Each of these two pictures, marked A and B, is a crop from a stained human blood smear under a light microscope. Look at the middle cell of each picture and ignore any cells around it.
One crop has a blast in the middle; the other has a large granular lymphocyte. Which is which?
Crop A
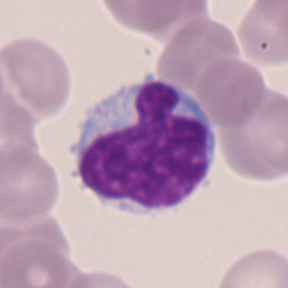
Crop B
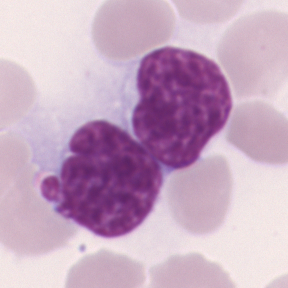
A: large granular lymphocyte
B: blast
